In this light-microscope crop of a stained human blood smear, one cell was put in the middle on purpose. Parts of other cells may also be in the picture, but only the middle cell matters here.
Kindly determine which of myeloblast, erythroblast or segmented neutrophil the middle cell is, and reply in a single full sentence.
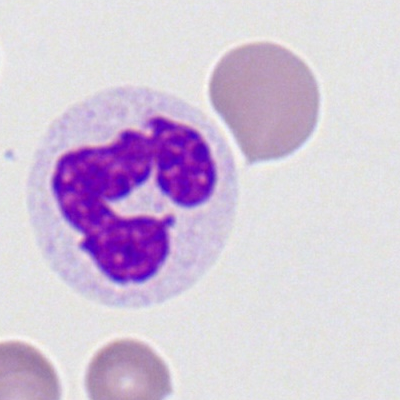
The cell at the middle of the crop is recognized as a segmented neutrophil.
